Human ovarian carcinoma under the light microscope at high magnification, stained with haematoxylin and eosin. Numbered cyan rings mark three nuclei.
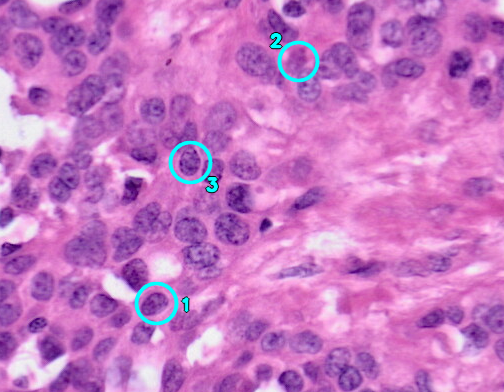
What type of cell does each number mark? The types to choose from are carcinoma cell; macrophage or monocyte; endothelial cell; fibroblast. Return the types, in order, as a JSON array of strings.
["carcinoma cell", "carcinoma cell", "macrophage or monocyte"]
